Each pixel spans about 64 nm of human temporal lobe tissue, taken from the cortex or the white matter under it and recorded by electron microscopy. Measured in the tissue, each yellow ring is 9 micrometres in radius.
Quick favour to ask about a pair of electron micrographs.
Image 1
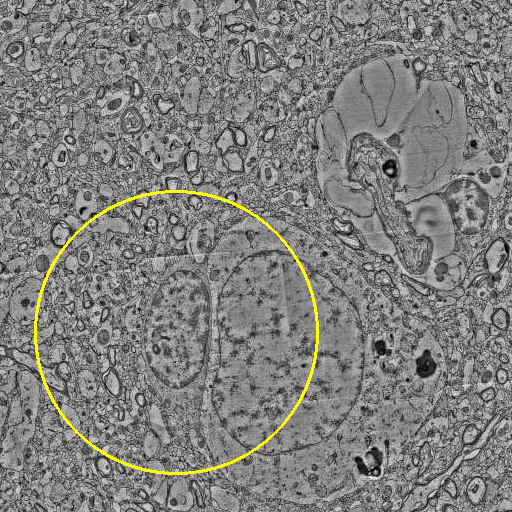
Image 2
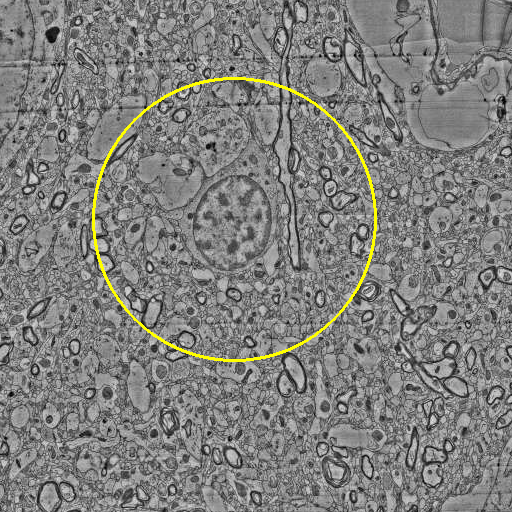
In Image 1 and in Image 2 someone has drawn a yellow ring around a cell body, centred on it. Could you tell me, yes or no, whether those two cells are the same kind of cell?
yes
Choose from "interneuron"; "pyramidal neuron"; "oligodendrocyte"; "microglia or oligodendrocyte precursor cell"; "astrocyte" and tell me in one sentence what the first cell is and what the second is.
The cell in the first picture is an oligodendrocyte, and so is the one in the second.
